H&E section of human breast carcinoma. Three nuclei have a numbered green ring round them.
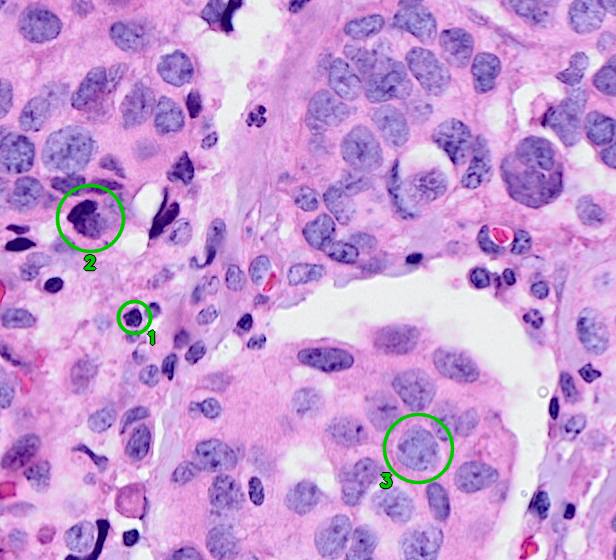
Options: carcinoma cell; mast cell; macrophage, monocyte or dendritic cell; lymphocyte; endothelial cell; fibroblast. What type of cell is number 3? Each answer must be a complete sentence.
The identity of cell 3 is that of a carcinoma cell.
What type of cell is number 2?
Regarding cell 2, this one is a carcinoma cell.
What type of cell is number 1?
In this section, the cell numbered 1 is a lymphocyte.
